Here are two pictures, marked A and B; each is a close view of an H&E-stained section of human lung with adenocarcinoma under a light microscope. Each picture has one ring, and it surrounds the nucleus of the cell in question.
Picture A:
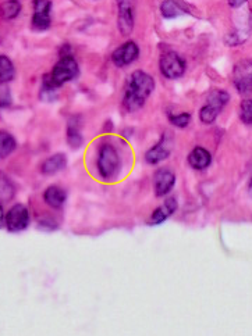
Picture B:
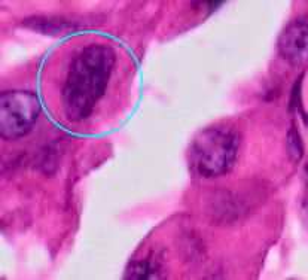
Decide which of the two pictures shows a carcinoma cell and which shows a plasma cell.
A: plasma cell
B: carcinoma cell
